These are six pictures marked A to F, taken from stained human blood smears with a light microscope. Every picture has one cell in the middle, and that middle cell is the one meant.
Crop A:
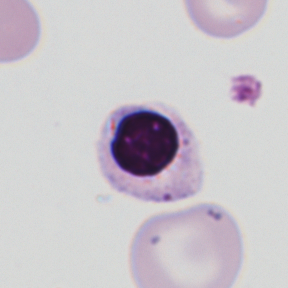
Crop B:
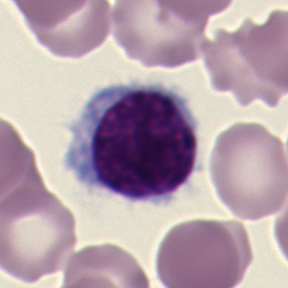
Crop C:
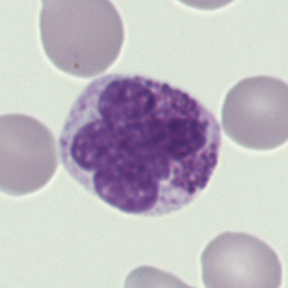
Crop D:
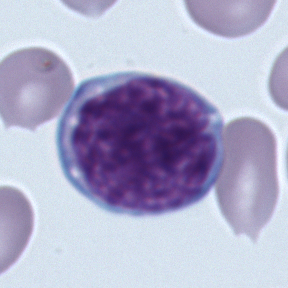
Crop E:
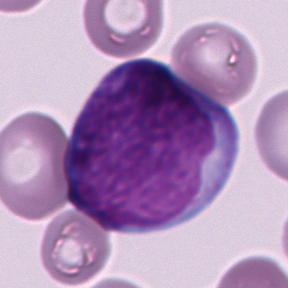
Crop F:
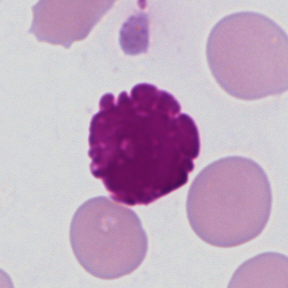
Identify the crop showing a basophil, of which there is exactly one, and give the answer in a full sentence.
Crop C, and no other, is the one that shows a basophil.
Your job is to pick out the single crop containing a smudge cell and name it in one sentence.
As for which crop shows a smudge cell, it is crop F.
